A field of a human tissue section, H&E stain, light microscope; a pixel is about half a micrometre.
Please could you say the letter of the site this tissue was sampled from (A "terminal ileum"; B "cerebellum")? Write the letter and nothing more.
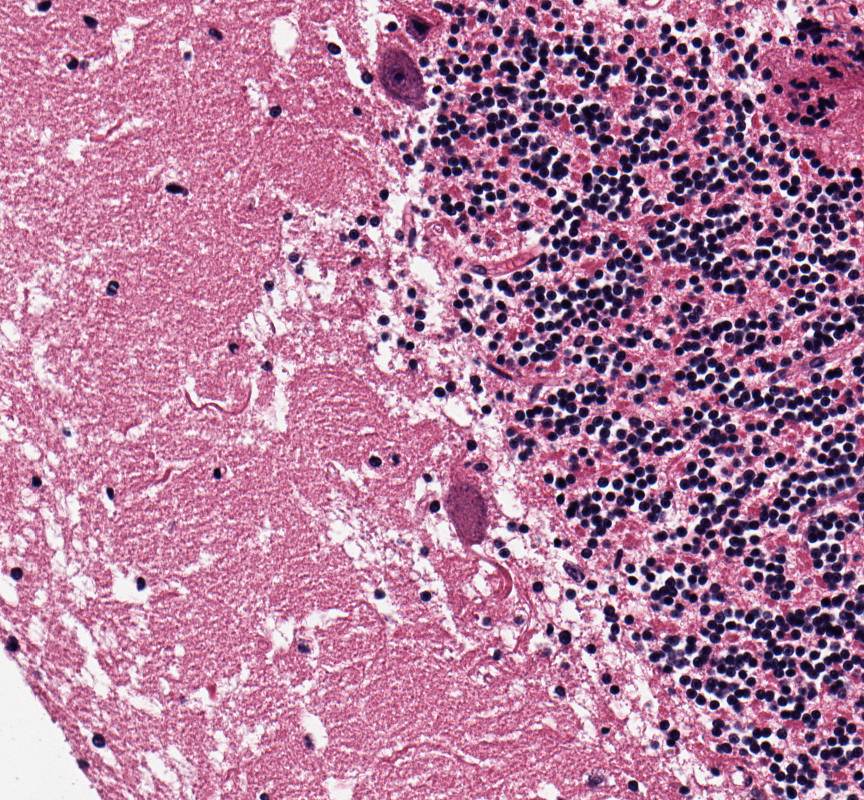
B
